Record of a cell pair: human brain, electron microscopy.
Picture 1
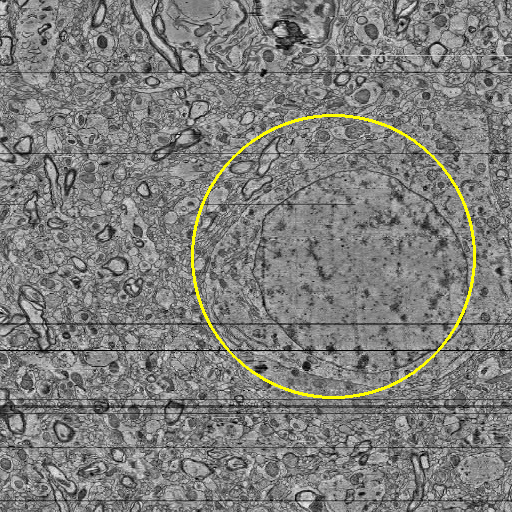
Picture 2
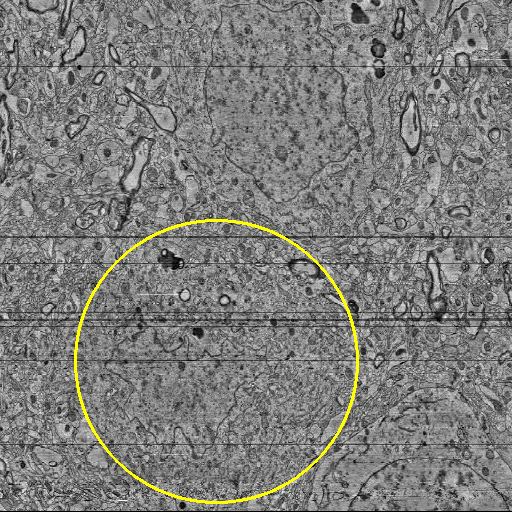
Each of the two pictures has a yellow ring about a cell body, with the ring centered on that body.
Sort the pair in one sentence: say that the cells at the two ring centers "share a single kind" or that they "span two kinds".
The cells centered in the rings of Pictures 1 and 2 share a single kind.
